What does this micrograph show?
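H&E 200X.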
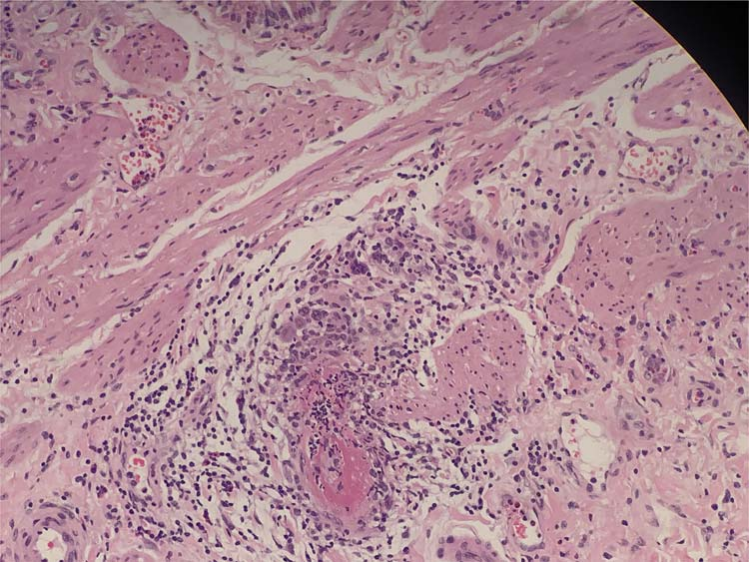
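The field shows a tissue wall made of interlacing bundles of pink smooth muscle, with a small blood vessel in the lower centre wrapped in a dense collection of inflammatory cells. The wall of this central vessel is replaced by bright, glassy, smudgy pink material, so its normal layers can no longer be made out. Around it lies a thick cuff of cells with small, dark, round or lobed nuclei, which thins out into the muscle bundles on either side. Above the cuff, the cells are crowded and some have larger, paler nuclei. Elsewhere, small vessels between the muscle bundles are filled with packed red blood cells.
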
